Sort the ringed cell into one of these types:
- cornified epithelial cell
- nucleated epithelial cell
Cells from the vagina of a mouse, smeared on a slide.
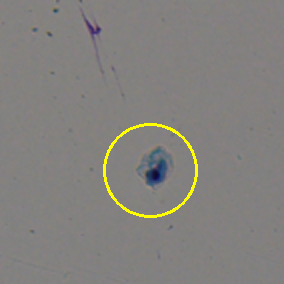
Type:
nucleated epithelial cell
